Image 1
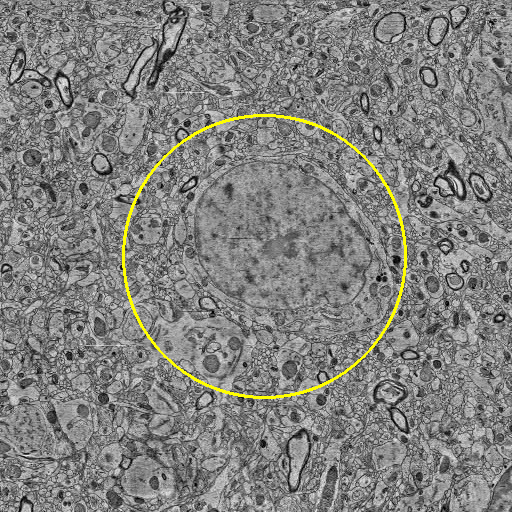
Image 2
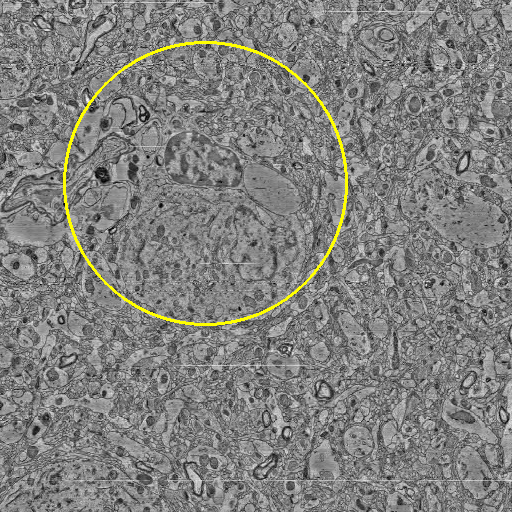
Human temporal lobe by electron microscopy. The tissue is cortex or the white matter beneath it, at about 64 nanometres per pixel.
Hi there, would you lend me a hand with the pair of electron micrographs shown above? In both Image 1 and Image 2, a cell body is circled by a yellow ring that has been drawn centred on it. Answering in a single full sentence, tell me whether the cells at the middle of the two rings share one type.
No, the ringed cells in Image 1 and Image 2 belong to two types.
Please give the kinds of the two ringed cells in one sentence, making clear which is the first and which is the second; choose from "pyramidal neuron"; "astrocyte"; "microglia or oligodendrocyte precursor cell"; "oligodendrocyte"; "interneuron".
In the second picture the ringed cell is a microglial cell or oligodendrocyte precursor cell; in the first it is an interneuron.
